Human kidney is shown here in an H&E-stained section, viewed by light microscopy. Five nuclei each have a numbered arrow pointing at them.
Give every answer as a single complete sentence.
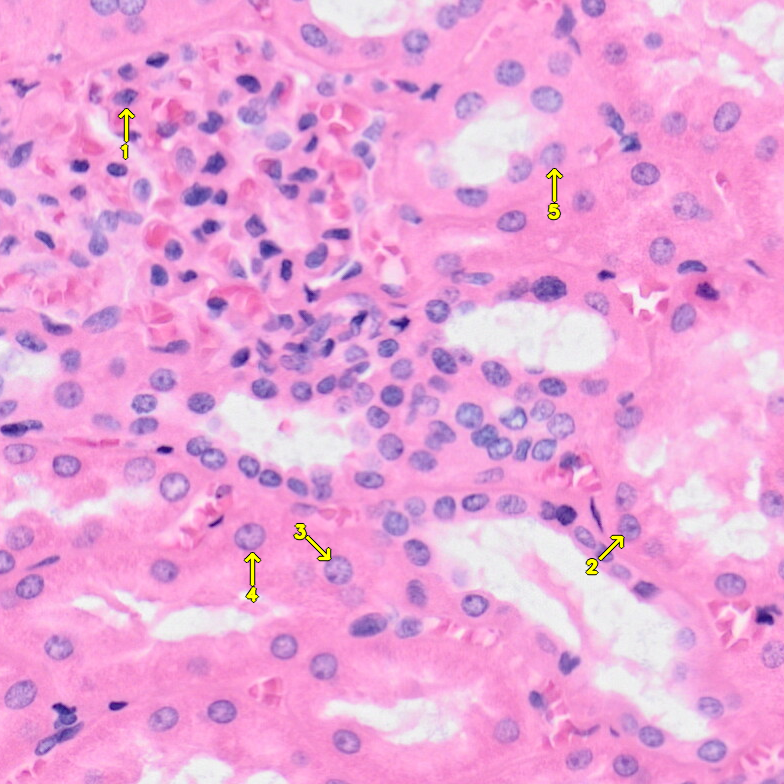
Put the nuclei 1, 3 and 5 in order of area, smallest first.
By area, going up from the smallest, they rank 1, 5, 3.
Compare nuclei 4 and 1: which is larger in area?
Nucleus 4 is larger, with an area about 1.5 times that of nucleus 1.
